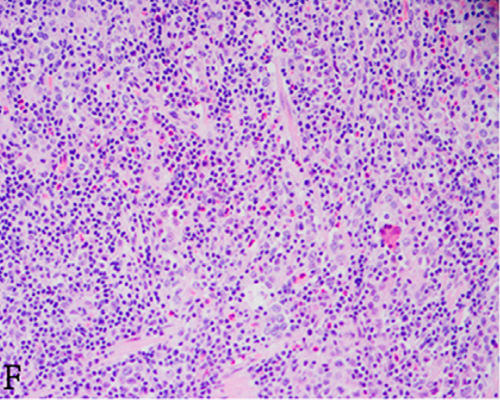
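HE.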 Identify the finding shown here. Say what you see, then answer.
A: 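Dense lymphocytic infiltration. Numerous small round cells with dark compact nuclei fill much of the field. Larger pale cells are scattered among them.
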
